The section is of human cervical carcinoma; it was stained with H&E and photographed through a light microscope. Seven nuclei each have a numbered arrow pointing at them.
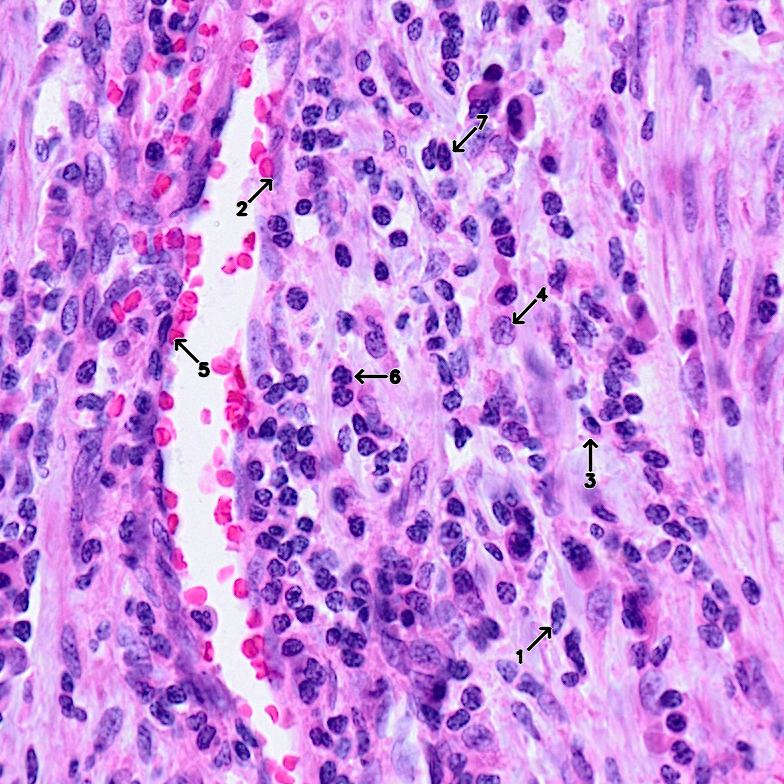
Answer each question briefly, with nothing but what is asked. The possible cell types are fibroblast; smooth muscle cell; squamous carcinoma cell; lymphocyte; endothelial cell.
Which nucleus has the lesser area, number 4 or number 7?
7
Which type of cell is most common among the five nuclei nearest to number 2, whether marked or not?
lymphocyte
